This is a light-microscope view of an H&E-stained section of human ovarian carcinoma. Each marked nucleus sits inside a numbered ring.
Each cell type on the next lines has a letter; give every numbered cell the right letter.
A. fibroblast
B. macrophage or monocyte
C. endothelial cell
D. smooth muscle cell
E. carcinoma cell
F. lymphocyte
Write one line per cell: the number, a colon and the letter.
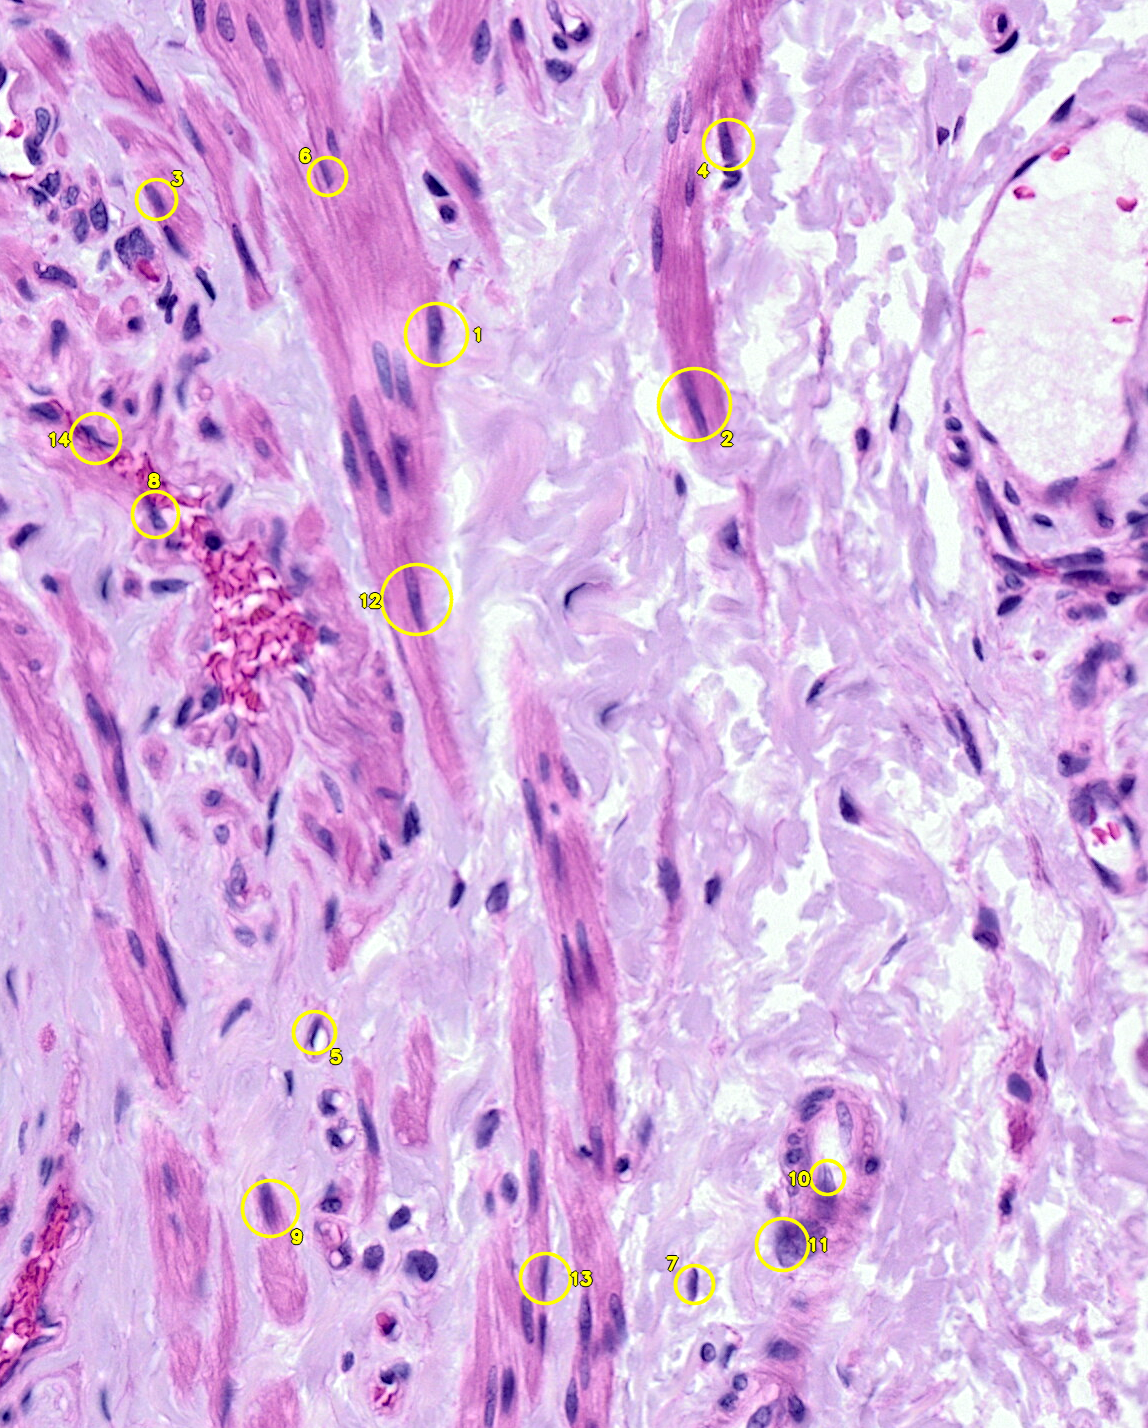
1: D
2: D
3: D
4: D
5: C
6: D
7: A
8: C
9: D
10: C
11: A
12: D
13: D
14: C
